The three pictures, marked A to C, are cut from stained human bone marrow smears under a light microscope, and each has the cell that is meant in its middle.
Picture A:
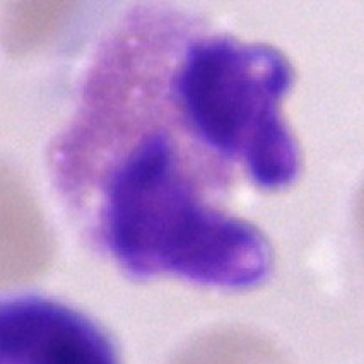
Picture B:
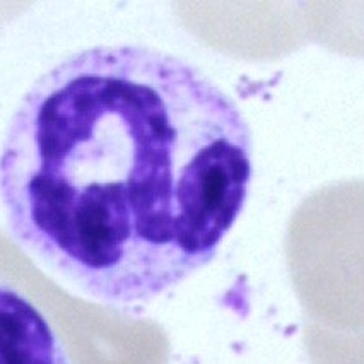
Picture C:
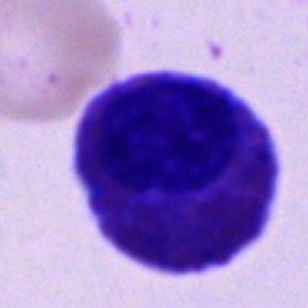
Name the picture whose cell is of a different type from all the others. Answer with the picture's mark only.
B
